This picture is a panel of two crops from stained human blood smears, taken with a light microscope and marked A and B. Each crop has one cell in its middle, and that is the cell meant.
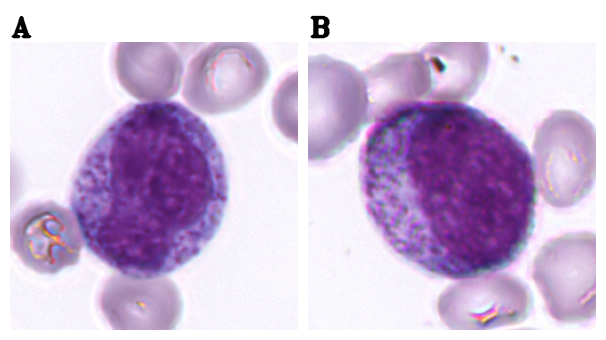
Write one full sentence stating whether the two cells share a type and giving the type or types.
Yes, in the middle of both crops, promyelocytes are shown.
